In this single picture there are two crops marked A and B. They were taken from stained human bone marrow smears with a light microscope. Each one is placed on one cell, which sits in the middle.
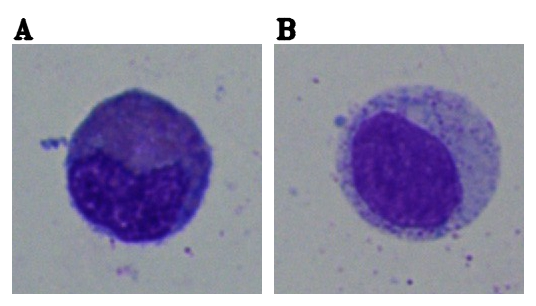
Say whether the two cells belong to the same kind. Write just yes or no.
no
